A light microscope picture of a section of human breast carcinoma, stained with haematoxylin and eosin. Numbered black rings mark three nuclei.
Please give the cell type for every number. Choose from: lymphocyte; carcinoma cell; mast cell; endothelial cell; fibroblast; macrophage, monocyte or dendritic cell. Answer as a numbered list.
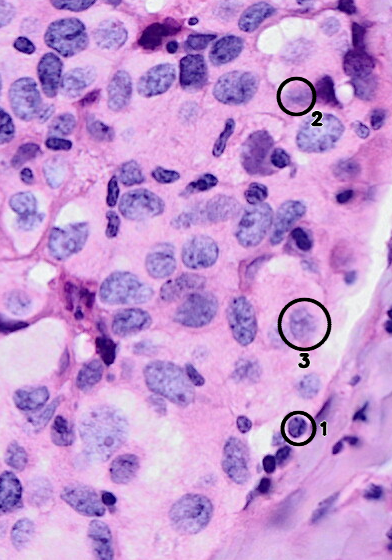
1. lymphocyte
2. carcinoma cell
3. carcinoma cell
